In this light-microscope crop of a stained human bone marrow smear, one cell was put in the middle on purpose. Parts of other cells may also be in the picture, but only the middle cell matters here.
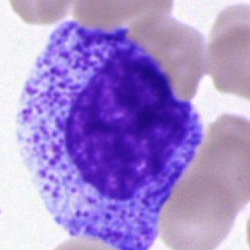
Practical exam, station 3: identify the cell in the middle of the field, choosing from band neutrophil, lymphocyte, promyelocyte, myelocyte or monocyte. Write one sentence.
The cell sitting right in the middle is a myelocyte.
